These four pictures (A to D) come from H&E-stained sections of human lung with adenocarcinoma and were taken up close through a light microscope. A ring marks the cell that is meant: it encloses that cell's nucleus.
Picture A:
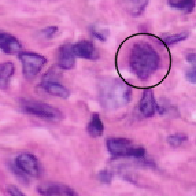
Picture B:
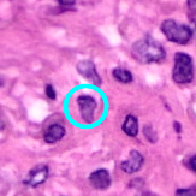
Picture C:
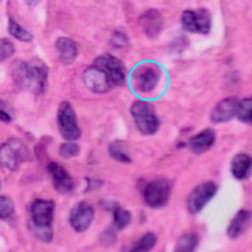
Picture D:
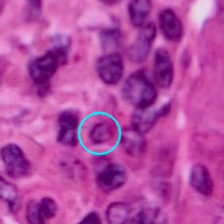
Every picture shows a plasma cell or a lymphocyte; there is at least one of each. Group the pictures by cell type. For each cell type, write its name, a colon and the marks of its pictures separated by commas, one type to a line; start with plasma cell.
plasma cell: A, D
lymphocyte: B, C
